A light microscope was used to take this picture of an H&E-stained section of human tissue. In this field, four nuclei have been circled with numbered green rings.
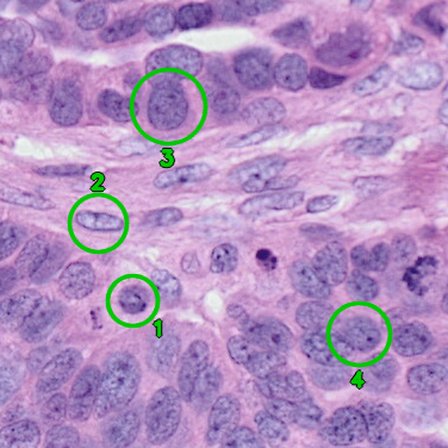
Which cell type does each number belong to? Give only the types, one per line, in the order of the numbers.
macrophage or monocyte
fibroblast
carcinoma cell
carcinoma cell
